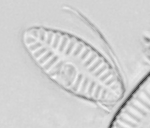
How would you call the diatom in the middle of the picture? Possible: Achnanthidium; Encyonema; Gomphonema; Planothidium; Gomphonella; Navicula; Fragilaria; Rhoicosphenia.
I would call it Planothidium.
